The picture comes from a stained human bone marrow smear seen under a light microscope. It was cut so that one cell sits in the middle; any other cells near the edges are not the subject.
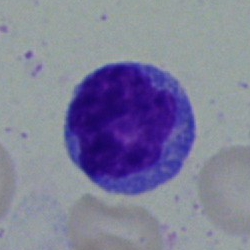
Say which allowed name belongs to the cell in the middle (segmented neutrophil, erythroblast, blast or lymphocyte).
blast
